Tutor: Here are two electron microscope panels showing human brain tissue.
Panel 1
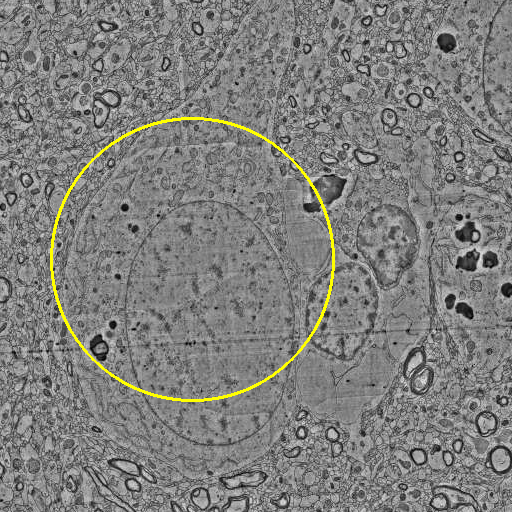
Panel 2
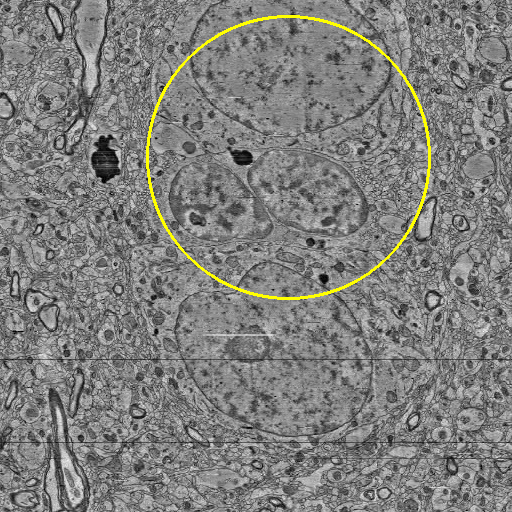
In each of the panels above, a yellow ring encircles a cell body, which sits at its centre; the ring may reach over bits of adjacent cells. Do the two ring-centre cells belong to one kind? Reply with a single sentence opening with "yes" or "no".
No, the two cells sitting at the ring centres in the panels belong to two kinds.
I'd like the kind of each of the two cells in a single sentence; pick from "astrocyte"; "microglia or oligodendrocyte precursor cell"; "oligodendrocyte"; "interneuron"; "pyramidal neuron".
The first ring marks a pyramidal neuron, and the second ring marks an oligodendrocyte.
